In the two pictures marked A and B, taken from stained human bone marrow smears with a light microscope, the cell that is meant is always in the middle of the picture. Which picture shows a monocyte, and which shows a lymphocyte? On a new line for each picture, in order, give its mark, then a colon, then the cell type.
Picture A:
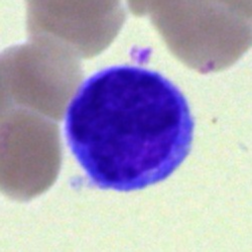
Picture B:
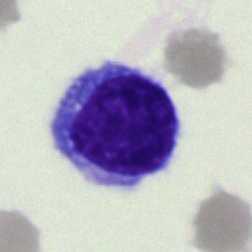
A: monocyte
B: lymphocyte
